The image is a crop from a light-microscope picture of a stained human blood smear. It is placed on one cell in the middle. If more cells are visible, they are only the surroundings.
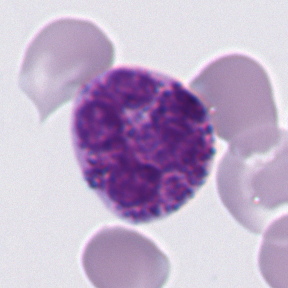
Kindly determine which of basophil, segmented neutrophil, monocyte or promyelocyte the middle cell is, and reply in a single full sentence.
The crop centres on a single cell, and that cell is a basophil.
